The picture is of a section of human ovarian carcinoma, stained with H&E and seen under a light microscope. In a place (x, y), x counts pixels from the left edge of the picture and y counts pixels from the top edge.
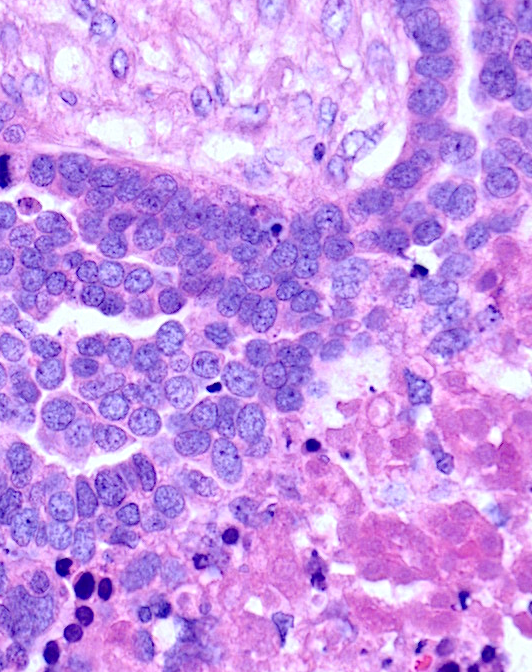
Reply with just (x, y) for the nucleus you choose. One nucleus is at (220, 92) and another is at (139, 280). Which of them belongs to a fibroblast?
(220, 92)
